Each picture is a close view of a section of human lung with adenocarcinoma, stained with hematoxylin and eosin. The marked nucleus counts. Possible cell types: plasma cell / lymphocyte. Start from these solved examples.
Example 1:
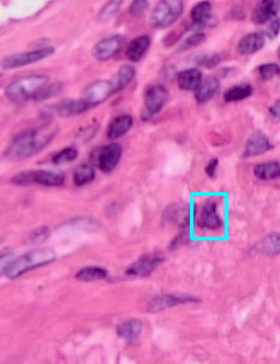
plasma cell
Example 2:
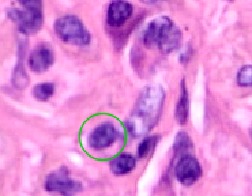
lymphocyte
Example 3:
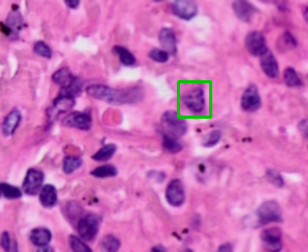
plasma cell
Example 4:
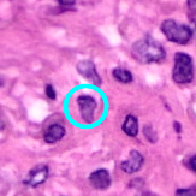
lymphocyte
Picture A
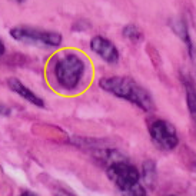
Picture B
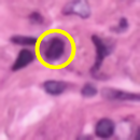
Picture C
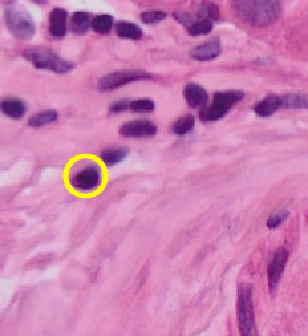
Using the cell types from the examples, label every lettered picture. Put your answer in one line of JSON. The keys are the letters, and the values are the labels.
{"A": "plasma cell", "B": "plasma cell", "C": "lymphocyte"}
